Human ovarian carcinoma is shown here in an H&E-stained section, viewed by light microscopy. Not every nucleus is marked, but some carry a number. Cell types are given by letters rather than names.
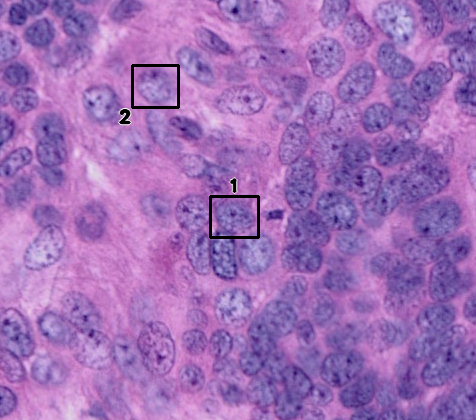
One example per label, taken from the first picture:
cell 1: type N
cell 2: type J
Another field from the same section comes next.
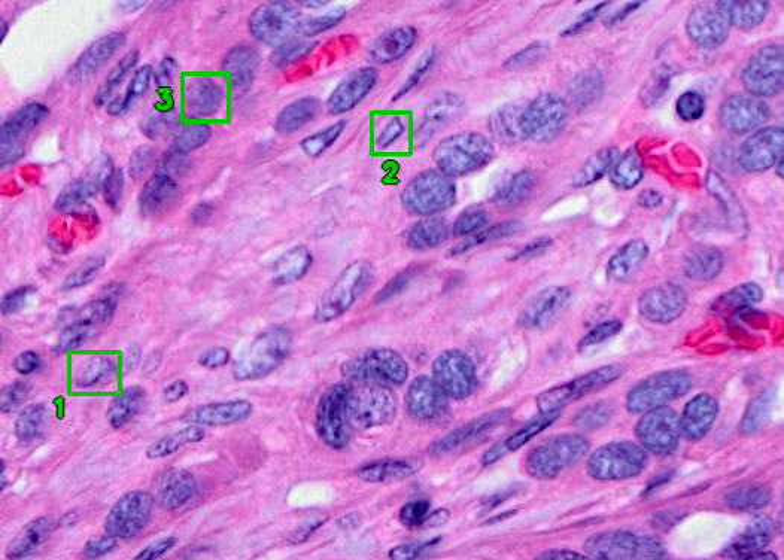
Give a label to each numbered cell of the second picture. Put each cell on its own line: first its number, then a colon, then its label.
1: type J
2: type J
3: type N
